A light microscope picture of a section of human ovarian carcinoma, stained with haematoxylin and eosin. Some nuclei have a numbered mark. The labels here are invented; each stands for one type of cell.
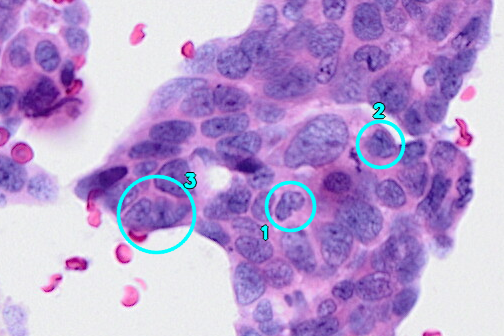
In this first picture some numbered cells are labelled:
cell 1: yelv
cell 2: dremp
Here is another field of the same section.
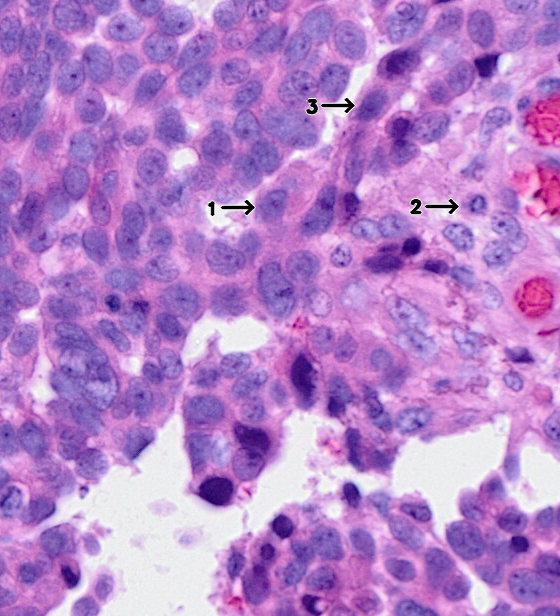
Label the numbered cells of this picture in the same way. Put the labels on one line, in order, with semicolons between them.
dremp; yelv; dremp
